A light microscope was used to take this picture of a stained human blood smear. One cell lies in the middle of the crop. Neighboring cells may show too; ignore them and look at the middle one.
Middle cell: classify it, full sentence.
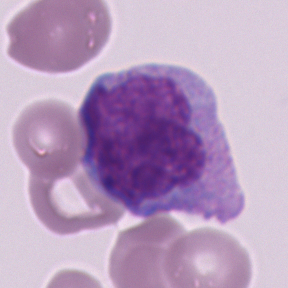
The crop's centre is taken up by an atypical promyelocyte.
